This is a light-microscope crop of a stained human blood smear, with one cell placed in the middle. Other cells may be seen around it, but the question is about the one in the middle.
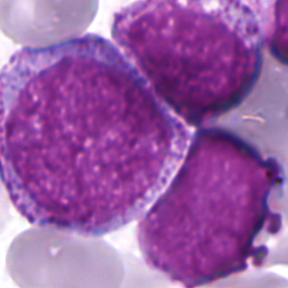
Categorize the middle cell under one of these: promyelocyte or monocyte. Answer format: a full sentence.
Seen at the centre of the crop is a promyelocyte.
